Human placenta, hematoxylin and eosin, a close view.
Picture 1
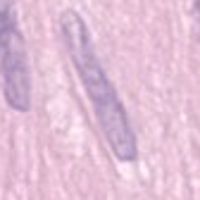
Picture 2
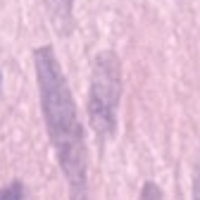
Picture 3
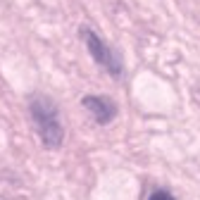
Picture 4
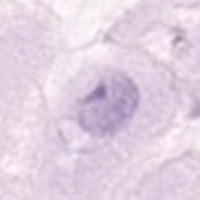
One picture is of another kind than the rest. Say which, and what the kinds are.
Picture 4 shows a maternal decidual cell; the rest show vascular myocytes.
